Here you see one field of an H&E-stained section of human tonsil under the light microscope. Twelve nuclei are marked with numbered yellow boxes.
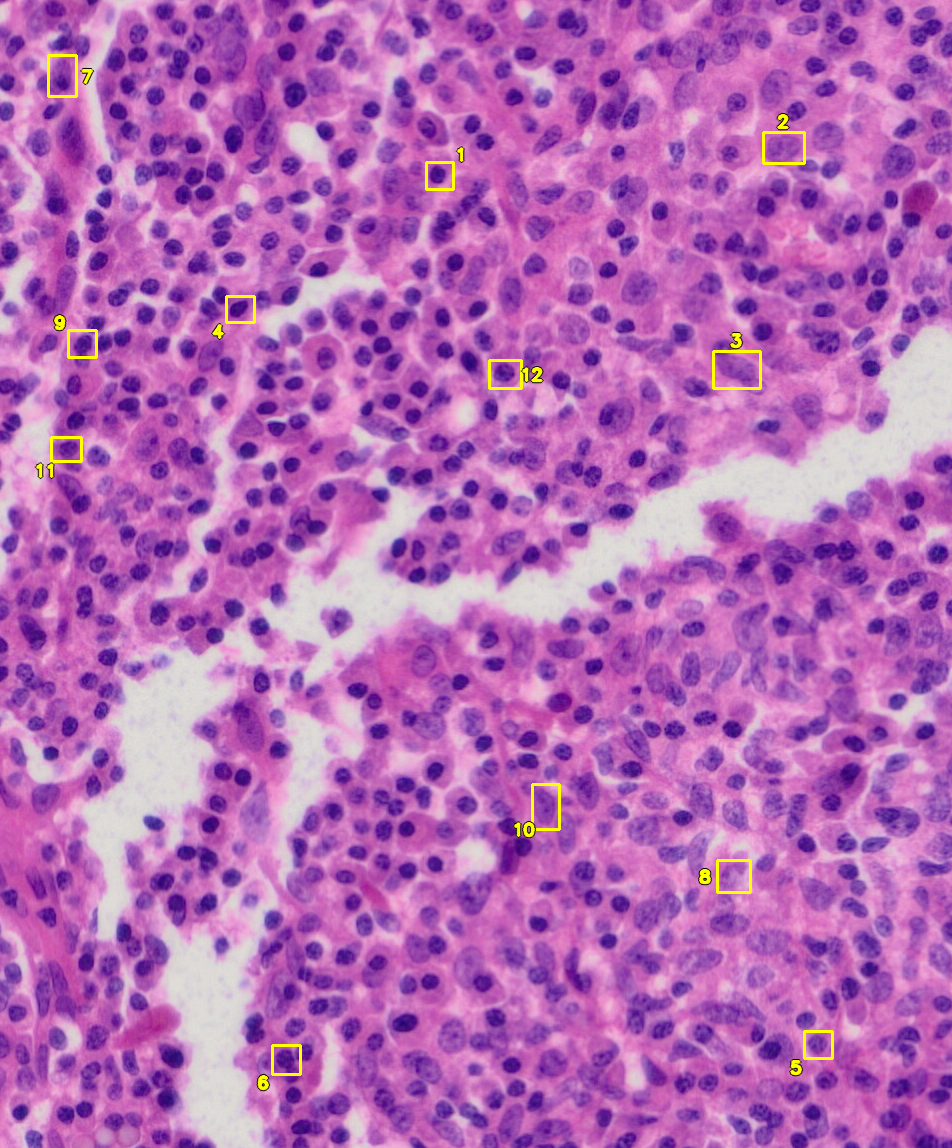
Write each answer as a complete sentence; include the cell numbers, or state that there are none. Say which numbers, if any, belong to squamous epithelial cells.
The cells marked 2, 3, 7, 8 and 10 in the section are squamous epithelial cells.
